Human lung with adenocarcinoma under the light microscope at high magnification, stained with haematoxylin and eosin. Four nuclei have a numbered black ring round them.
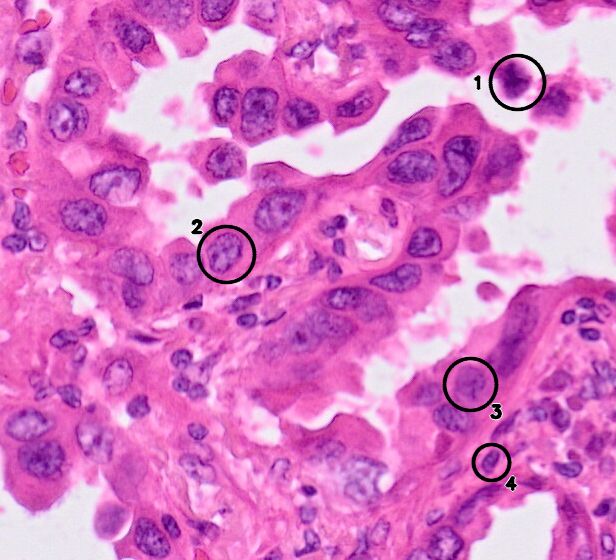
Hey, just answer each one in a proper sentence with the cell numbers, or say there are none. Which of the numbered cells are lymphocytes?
Of the cells marked with numbers, cell 4 is the only one that is a lymphocyte.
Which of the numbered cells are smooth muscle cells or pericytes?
Concerning the numbered cells, no smooth muscle cells or pericytes are among them.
